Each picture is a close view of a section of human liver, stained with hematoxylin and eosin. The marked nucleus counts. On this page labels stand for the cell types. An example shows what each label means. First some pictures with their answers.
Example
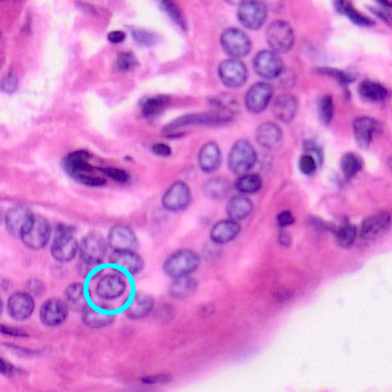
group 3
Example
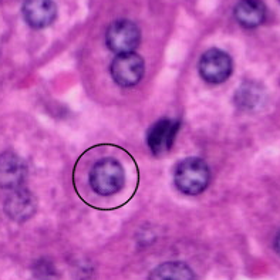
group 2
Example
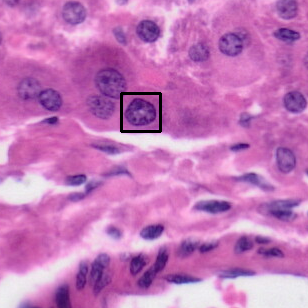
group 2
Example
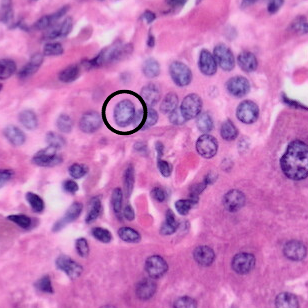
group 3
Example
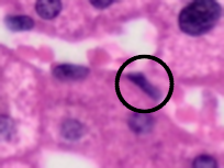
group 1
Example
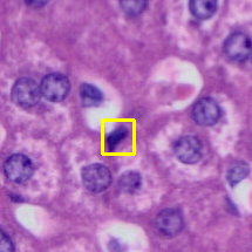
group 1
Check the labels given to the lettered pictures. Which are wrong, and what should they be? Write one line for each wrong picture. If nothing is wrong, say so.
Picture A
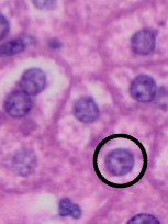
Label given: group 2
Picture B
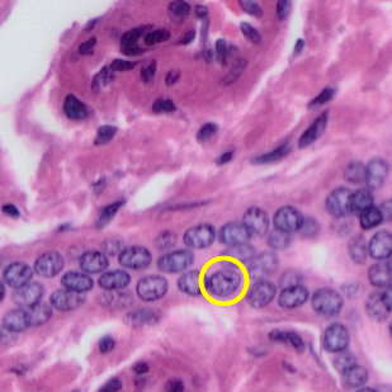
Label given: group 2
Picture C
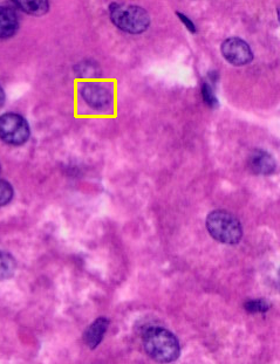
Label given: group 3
B: change group 2 to group 3
C: change group 3 to group 2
